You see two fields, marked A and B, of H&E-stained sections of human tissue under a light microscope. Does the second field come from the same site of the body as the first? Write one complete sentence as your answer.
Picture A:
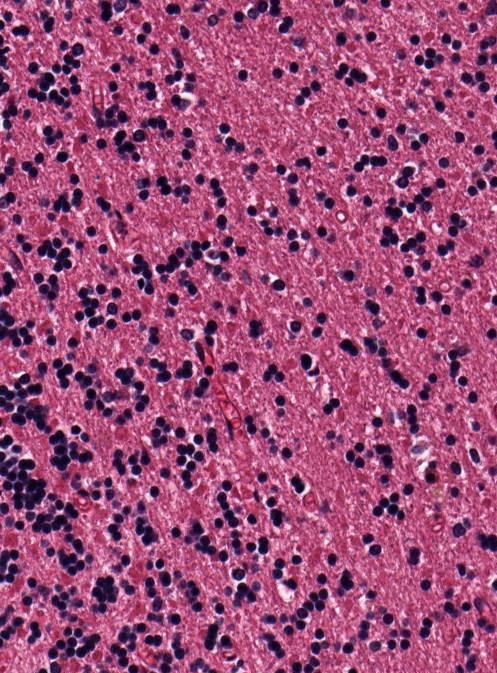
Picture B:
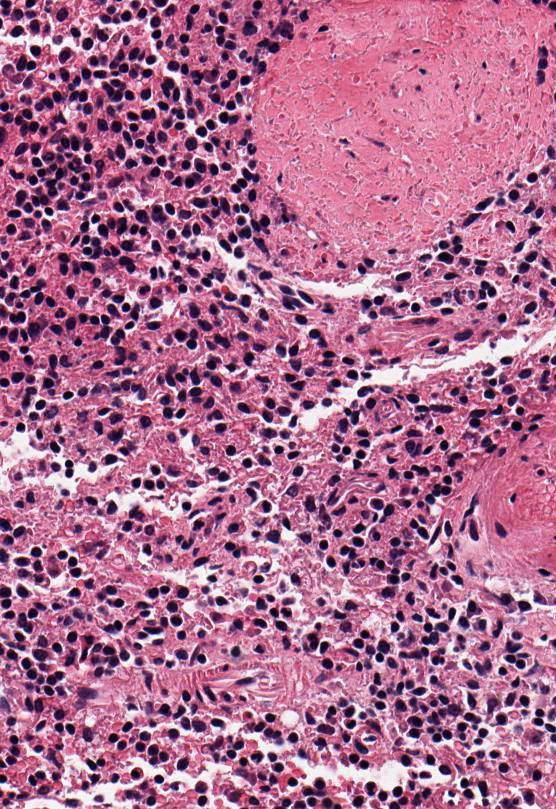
No, they differ: picture A comes from the cerebellum, and picture B comes from the spleen.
